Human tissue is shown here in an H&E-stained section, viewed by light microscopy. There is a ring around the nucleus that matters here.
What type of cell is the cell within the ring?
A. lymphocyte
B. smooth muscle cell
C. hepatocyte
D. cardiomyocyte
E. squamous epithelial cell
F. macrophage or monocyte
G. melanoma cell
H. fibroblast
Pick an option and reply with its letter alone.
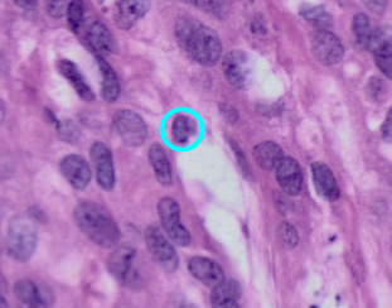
F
